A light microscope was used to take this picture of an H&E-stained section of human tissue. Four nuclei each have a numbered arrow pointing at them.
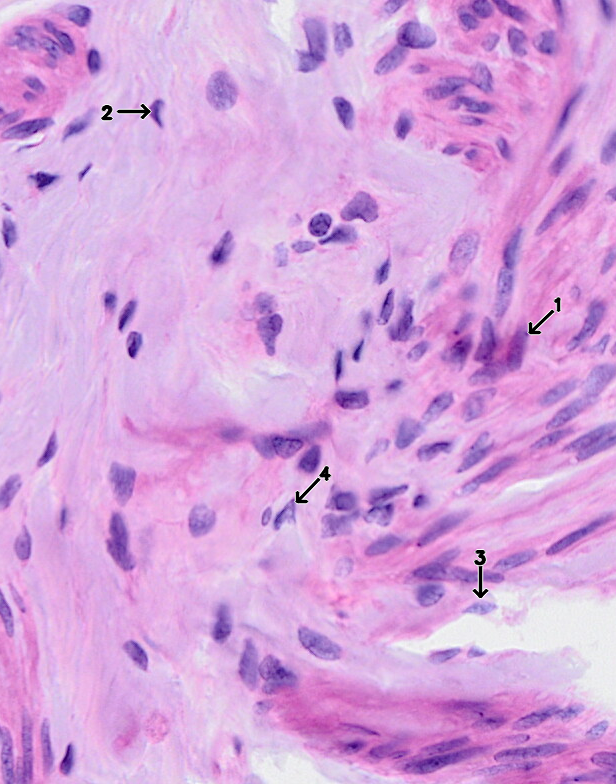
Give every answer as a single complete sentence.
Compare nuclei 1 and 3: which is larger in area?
The larger nucleus is 1, at roughly 2.5 times the area of 3.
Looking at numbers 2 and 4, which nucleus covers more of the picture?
The larger nucleus is 4, at roughly 1.5 times the area of 2.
